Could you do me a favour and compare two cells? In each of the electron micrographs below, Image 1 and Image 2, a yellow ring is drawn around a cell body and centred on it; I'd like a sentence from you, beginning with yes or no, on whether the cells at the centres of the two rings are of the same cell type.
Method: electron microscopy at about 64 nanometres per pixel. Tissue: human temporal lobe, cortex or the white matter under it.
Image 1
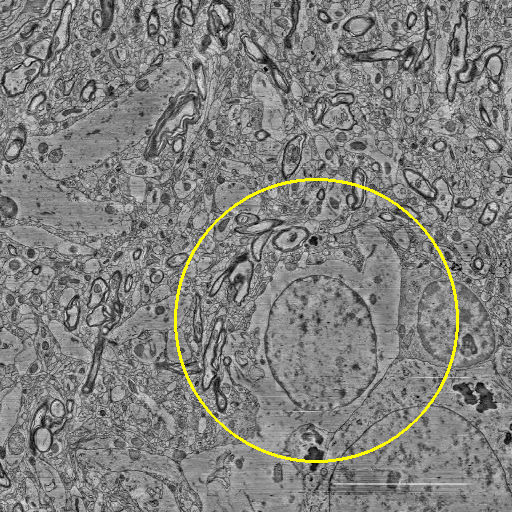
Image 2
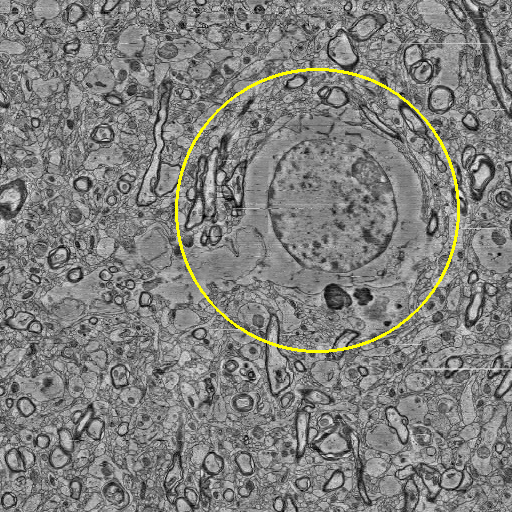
Yes, the two cells are of the same cell type.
